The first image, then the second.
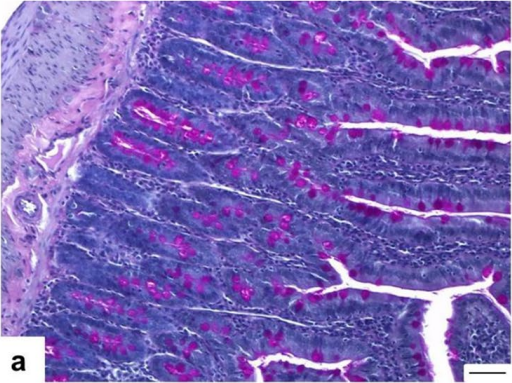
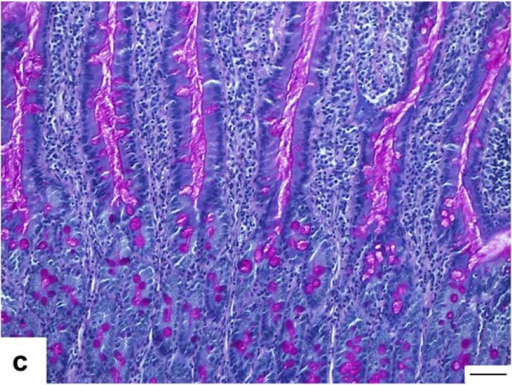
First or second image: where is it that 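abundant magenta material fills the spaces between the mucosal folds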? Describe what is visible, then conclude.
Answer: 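The second image. Second image: long streaks of bright magenta material fill the lumens between the folds. First image: the spaces between the folds are mostly white and empty, with magenta confined largely to single rounded cells.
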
